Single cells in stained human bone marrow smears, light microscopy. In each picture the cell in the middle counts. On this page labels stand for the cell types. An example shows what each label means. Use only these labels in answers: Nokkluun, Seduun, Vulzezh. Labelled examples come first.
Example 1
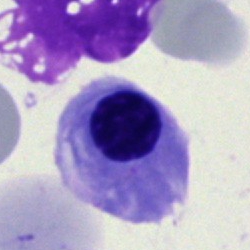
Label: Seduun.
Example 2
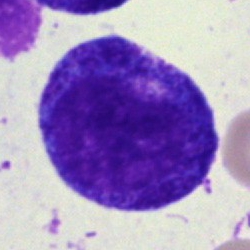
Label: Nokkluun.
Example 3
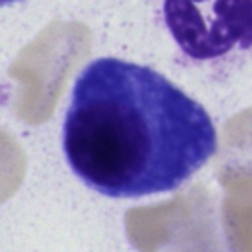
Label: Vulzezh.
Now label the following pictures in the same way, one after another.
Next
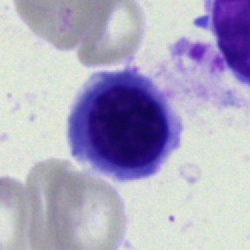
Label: Seduun.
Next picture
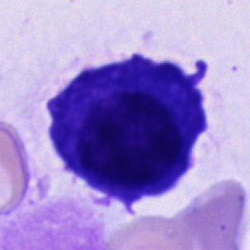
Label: Vulzezh.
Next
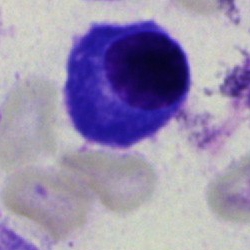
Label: Vulzezh.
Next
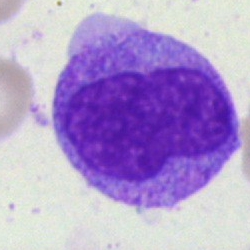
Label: Nokkluun.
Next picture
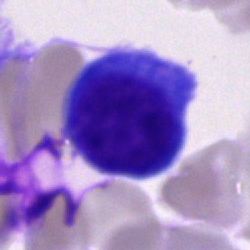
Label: Vulzezh.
